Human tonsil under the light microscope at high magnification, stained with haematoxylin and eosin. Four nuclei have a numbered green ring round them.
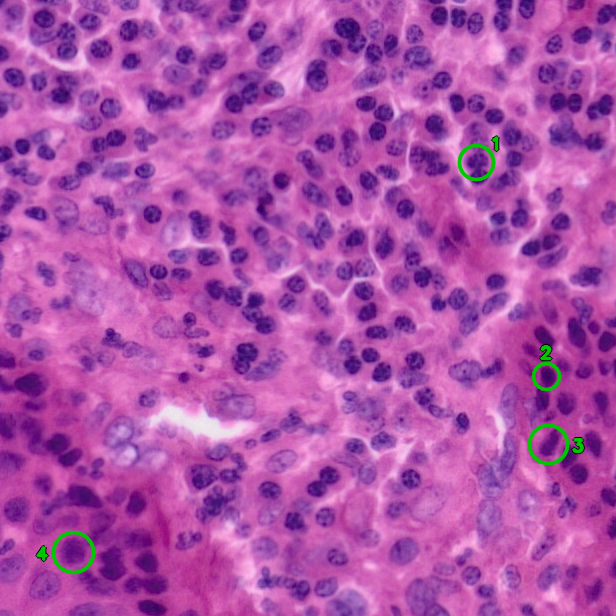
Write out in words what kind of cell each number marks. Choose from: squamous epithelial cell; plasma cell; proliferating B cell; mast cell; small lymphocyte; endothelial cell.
Cell 1 is a plasma cell, cell 2 is a squamous epithelial cell, cell 3 is a squamous epithelial cell and cell 4 is a squamous epithelial cell.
